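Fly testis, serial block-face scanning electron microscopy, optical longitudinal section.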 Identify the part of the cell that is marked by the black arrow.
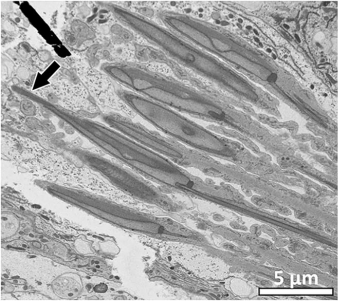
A: Acrosome.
